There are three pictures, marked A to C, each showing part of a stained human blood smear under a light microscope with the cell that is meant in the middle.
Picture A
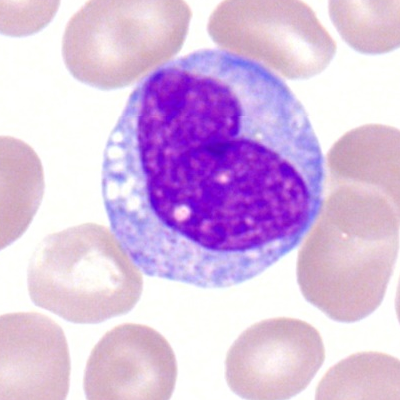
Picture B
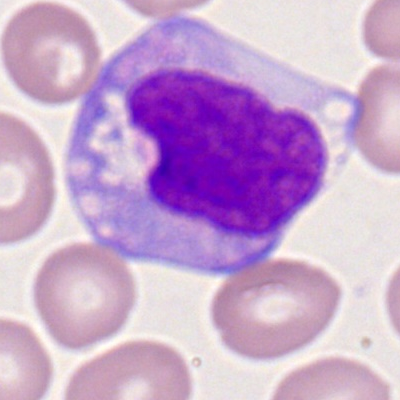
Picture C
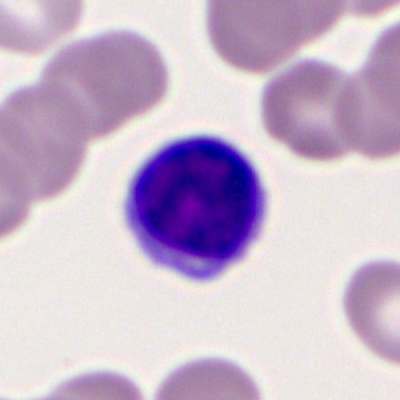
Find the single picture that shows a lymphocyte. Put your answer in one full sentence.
Picture C is the one that shows the lymphocyte.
